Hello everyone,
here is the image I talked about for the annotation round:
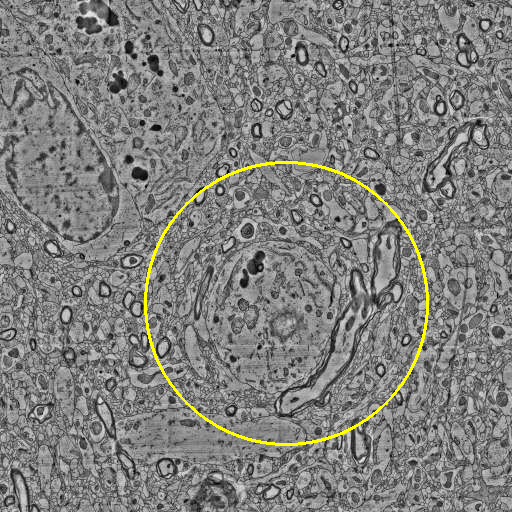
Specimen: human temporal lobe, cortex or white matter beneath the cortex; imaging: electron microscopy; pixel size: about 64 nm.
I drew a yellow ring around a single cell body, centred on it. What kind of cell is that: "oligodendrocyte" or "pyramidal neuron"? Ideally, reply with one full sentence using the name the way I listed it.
The cell your yellow ring is centred on is a pyramidal neuron, going by your list.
